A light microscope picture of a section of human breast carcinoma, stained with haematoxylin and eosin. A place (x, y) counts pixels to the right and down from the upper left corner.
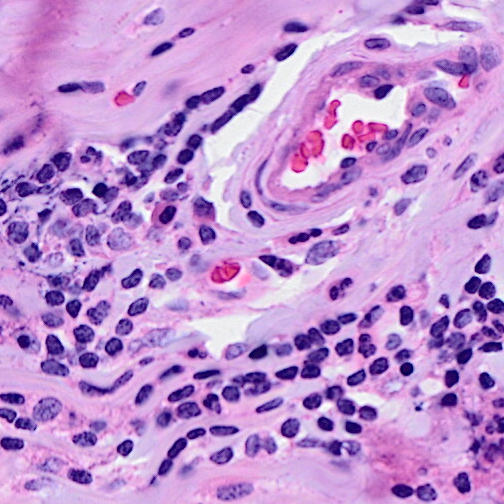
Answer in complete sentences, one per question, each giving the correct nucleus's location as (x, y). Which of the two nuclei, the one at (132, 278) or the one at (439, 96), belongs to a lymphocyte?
The one nucleus of the two that belongs to a lymphocyte is at (132, 278).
